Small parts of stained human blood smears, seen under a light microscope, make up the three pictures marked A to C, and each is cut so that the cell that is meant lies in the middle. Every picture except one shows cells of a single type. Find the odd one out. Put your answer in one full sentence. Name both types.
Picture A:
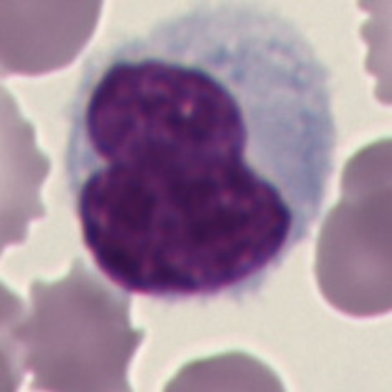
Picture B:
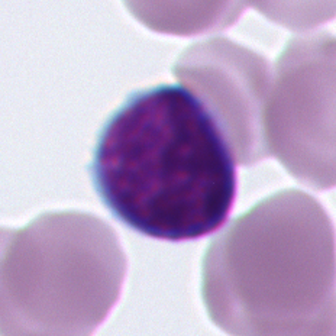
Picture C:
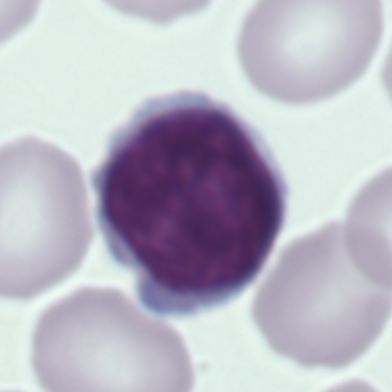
The others show typical lymphocytes, but picture A shows a hairy cell.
